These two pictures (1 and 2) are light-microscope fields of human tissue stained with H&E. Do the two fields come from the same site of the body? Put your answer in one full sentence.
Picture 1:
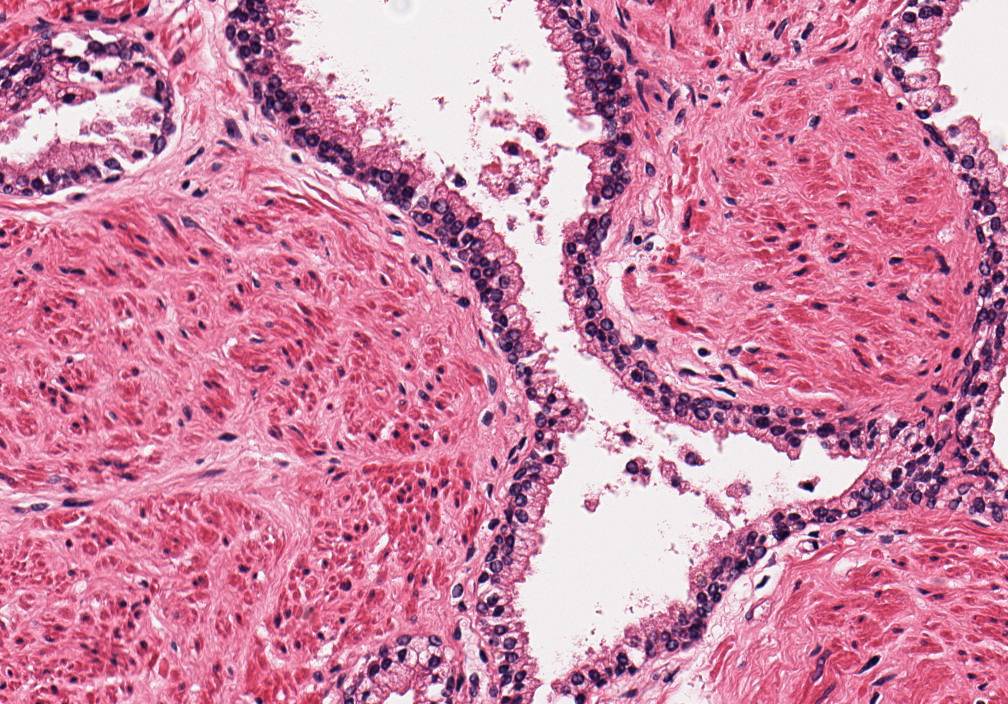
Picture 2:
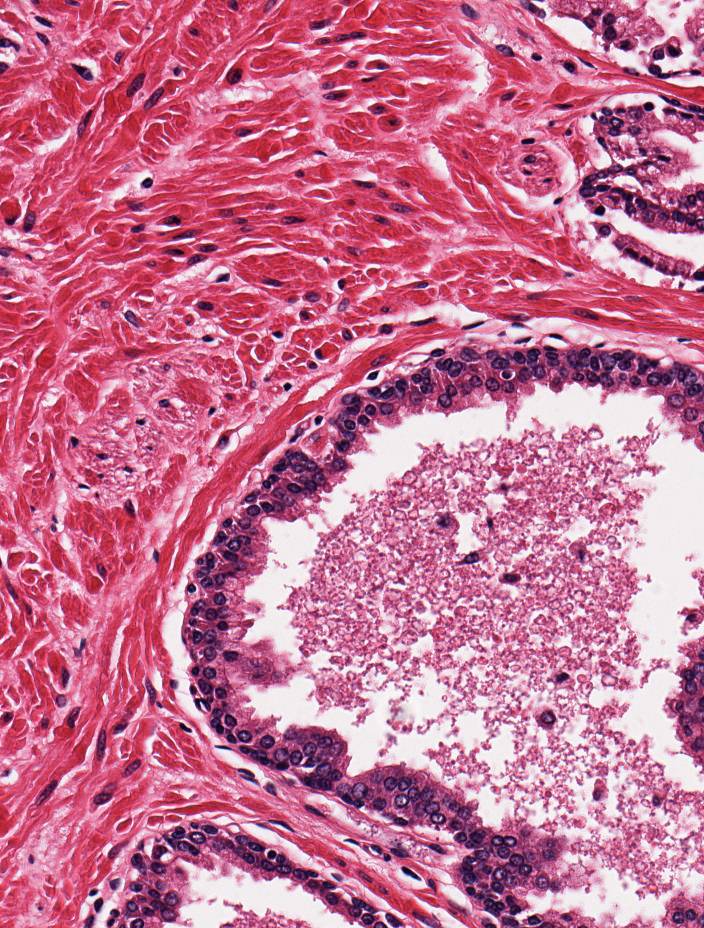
Yes, the two fields both come from the prostate.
